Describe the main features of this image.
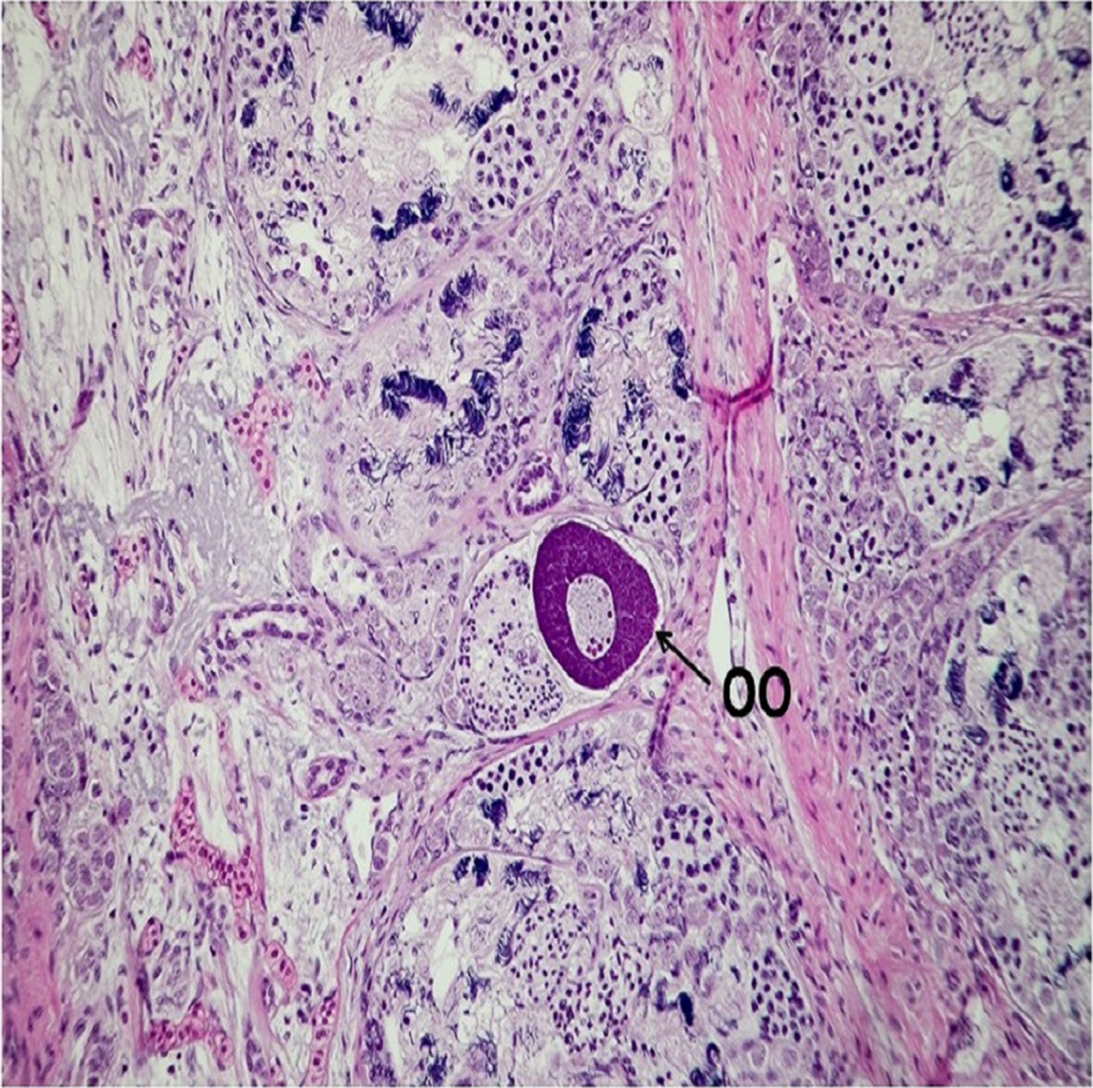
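This section of testis shows seminiferous tubules packed with clusters of germ cells with small round dark nuclei, and dark blue elongated sperm bundles. Within one tubule lies a single large oocyte, whose thick ring of cytoplasm stains deep purple around a pale central nucleus. This oocyte is much larger than the surrounding germ cells, which lie clustered next to it within the same tubule. Between the tubules there is loose interstitial tissue, with a broad band of pink-staining fibrous tissue running vertically through the field.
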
